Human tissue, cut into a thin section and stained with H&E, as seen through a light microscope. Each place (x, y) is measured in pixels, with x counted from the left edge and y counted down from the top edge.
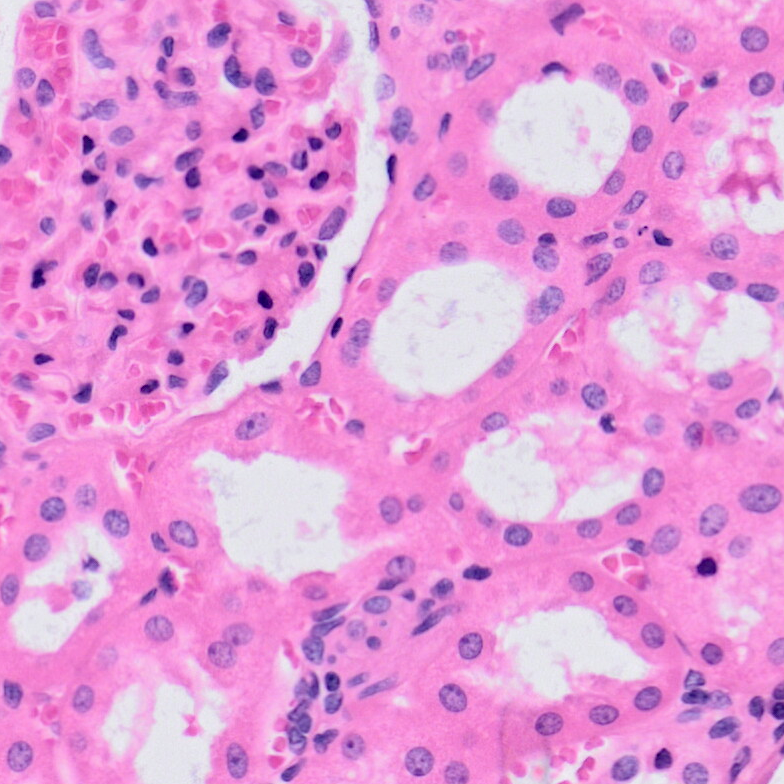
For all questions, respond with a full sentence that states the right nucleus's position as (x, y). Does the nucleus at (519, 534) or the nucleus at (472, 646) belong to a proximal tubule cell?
The nucleus of a proximal tubule cell lies at (472, 646), not at the other position.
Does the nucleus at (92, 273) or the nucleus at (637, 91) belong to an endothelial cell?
The nucleus positioned at (92, 273) is the one that belongs to an endothelial cell.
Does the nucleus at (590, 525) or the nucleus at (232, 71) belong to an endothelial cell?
That would be the nucleus at (232, 71); it belongs to an endothelial cell.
